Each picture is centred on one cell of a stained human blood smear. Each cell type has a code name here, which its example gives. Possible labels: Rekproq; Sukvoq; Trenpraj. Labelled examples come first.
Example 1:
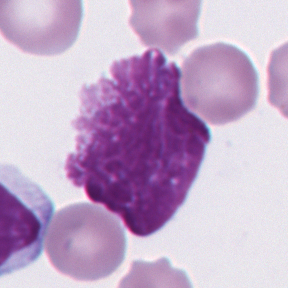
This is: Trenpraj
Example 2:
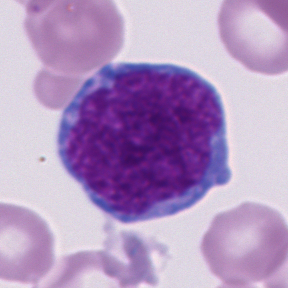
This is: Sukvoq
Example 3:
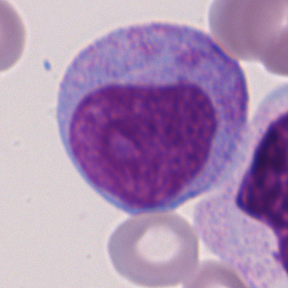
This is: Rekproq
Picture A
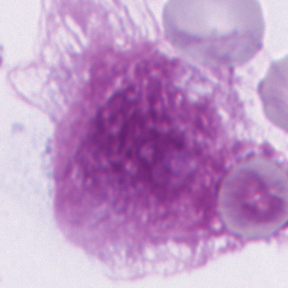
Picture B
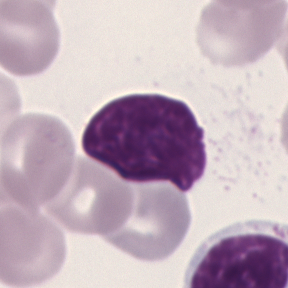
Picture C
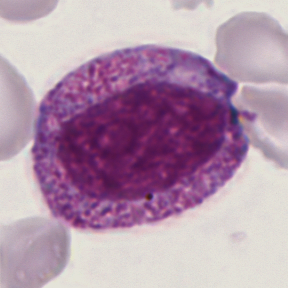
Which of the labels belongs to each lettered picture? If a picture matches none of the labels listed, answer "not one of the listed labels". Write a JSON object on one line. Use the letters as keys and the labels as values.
{"A": "Trenpraj", "B": "Trenpraj", "C": "Rekproq"}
